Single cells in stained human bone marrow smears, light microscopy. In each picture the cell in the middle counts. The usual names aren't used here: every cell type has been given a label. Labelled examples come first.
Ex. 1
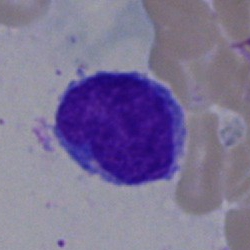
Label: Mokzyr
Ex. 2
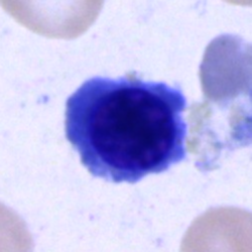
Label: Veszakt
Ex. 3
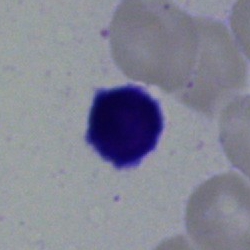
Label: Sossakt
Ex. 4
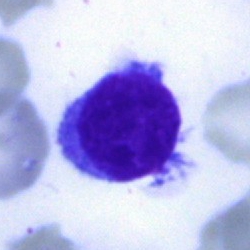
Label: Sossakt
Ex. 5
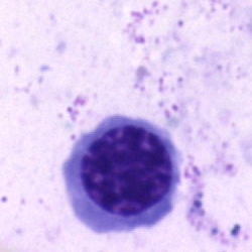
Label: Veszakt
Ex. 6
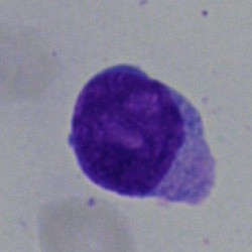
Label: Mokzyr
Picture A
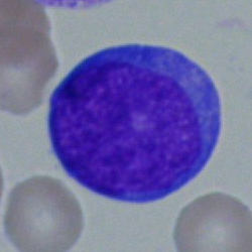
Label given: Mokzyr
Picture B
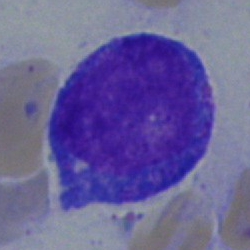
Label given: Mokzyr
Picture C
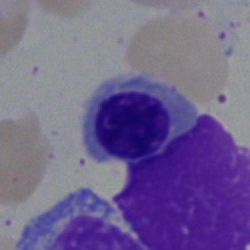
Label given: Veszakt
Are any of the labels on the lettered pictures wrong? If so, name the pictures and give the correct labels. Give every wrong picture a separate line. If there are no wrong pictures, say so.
All labels are correct.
